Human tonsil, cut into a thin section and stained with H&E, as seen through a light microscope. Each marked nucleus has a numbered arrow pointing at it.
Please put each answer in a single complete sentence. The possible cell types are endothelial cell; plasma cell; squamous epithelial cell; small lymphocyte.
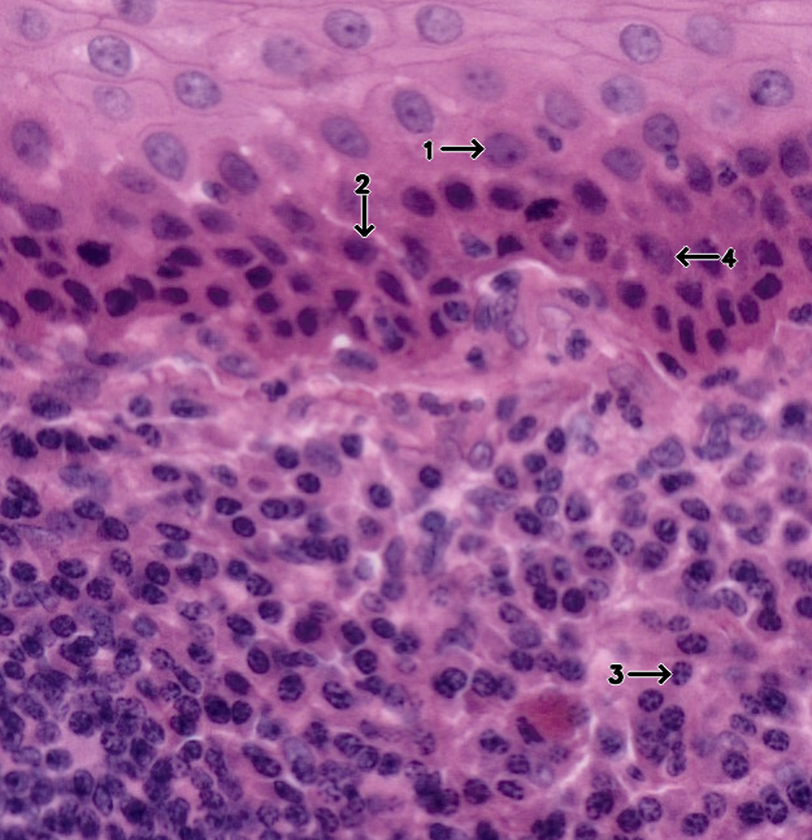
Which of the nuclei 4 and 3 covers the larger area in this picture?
Nucleus 4 is the larger one, covering about 1.5 times the area of nucleus 3.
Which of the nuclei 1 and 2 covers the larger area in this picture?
It is nucleus 1, which covers about 1.5 times the area of nucleus 2.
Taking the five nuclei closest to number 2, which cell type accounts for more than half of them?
Squamous epithelial cells account for more than half of the five nuclei nearest to number 2.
